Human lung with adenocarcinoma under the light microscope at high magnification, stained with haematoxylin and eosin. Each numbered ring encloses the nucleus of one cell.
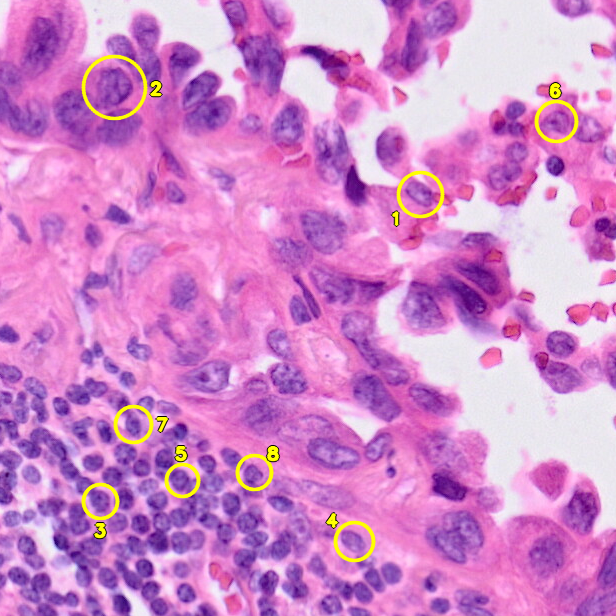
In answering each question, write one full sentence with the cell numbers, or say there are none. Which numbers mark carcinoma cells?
Only at number 2 is there a carcinoma cell among the marked cells.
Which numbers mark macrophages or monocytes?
The numbers 1 and 6 mark cells that are macrophages or monocytes.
